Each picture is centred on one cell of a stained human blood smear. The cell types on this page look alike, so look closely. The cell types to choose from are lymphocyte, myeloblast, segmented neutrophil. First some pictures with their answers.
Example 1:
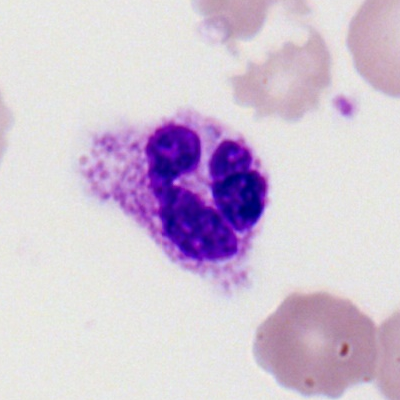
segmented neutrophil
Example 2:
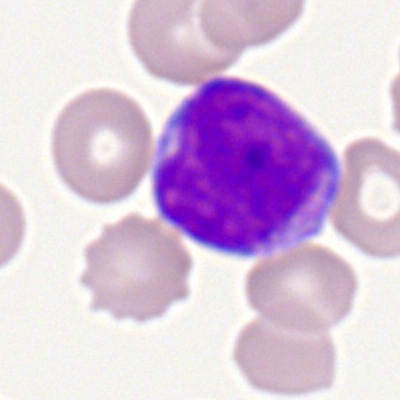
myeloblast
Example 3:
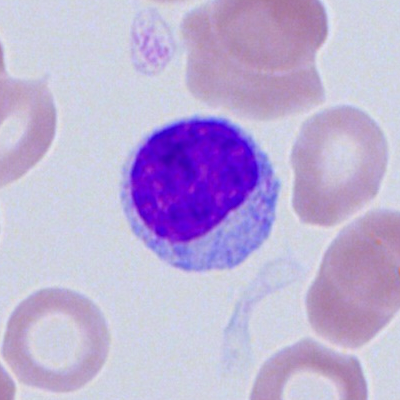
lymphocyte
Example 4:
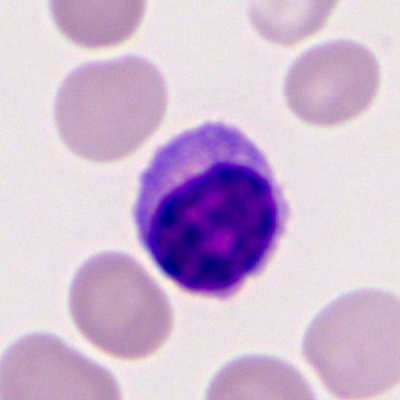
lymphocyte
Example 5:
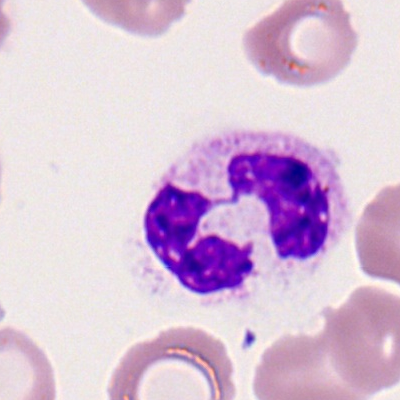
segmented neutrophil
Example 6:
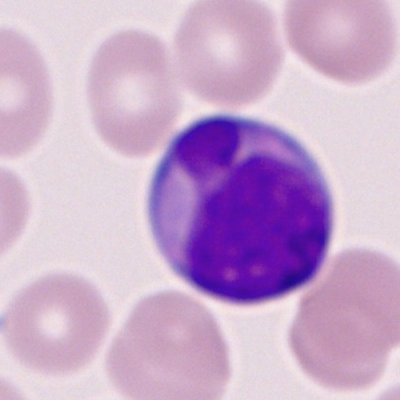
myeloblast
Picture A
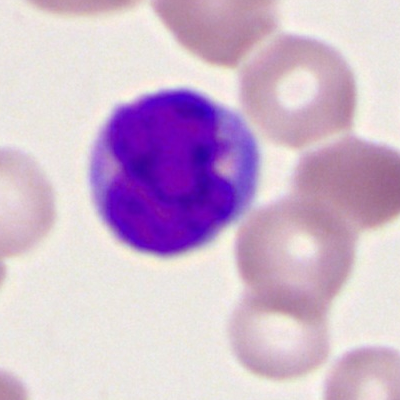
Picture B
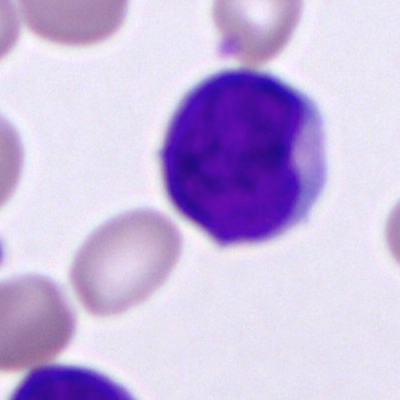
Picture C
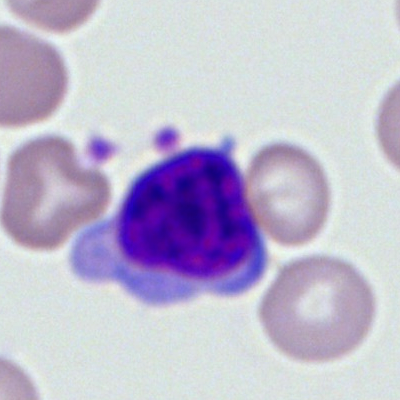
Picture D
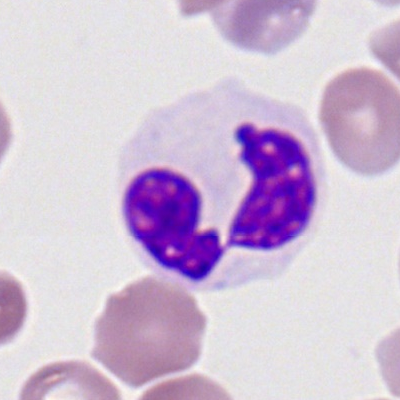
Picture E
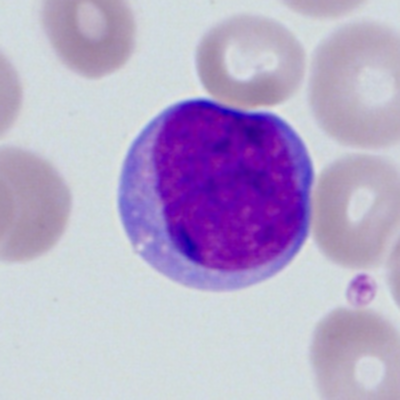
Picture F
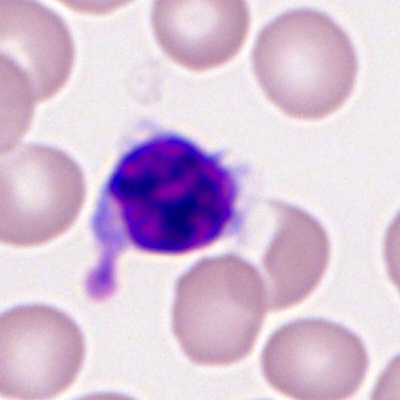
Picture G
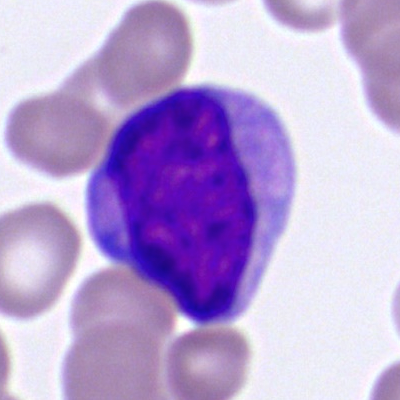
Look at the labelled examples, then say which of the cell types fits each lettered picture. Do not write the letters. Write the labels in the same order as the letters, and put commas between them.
myeloblast, myeloblast, lymphocyte, segmented neutrophil, myeloblast, lymphocyte, myeloblast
